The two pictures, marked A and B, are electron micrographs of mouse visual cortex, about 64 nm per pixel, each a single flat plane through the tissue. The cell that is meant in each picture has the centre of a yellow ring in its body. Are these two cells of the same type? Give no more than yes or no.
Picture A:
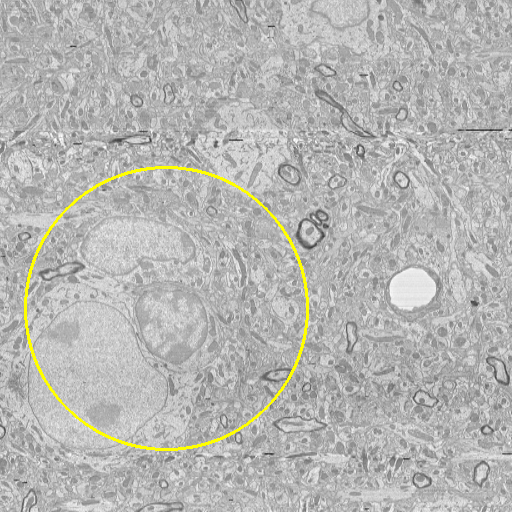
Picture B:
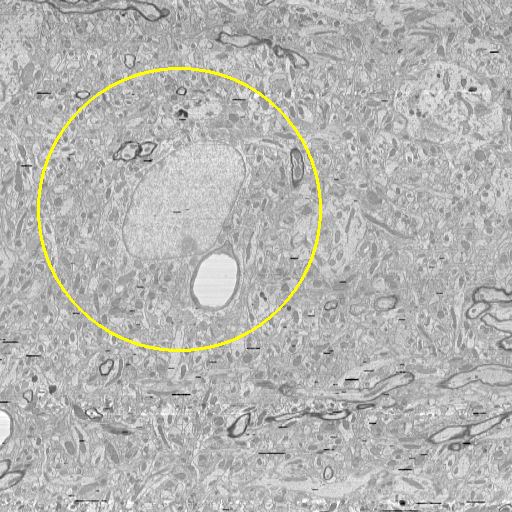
no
